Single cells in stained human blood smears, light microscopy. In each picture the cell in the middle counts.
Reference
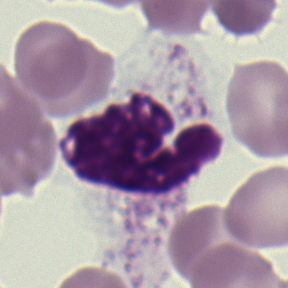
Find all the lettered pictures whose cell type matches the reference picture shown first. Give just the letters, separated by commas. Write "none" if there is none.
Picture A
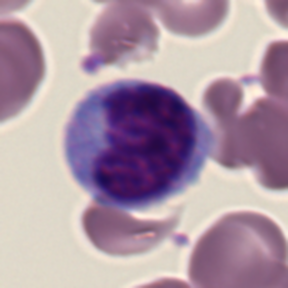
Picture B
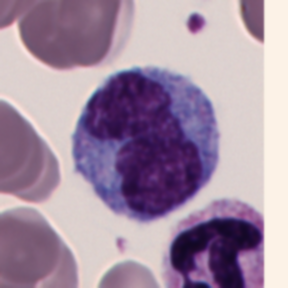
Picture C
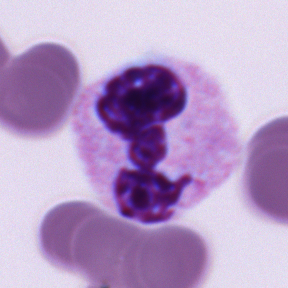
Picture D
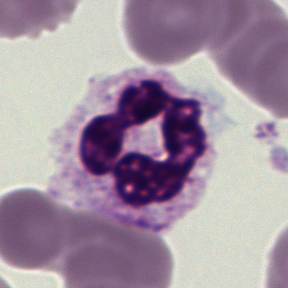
C, D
